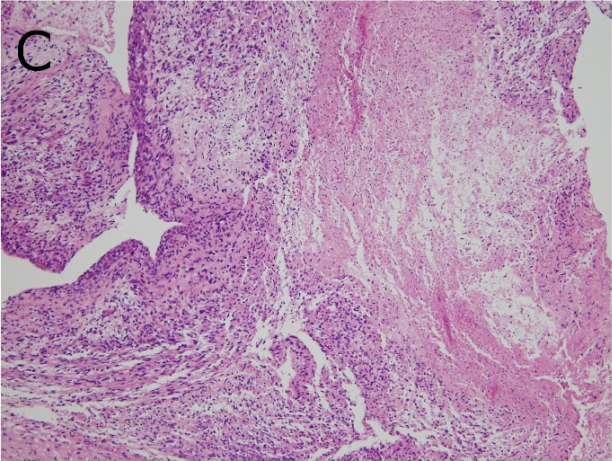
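This medium-power view of a tumor shows a focus of necrosis among sheets of spindle cells. The necrotic zone is a pale pink band with few nuclei and a washed-out, fibrillary look. On either side lie cellular areas of spindle cells with dark, elongated nuclei arranged in fascicles. Slit-like clefts and spaces run through the cellular tissue.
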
